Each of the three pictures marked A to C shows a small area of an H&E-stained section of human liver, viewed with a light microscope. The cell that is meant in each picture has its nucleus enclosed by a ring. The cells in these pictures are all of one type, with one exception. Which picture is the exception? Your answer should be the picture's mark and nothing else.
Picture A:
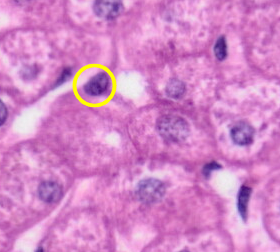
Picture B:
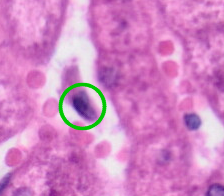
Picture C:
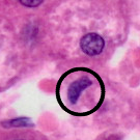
C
